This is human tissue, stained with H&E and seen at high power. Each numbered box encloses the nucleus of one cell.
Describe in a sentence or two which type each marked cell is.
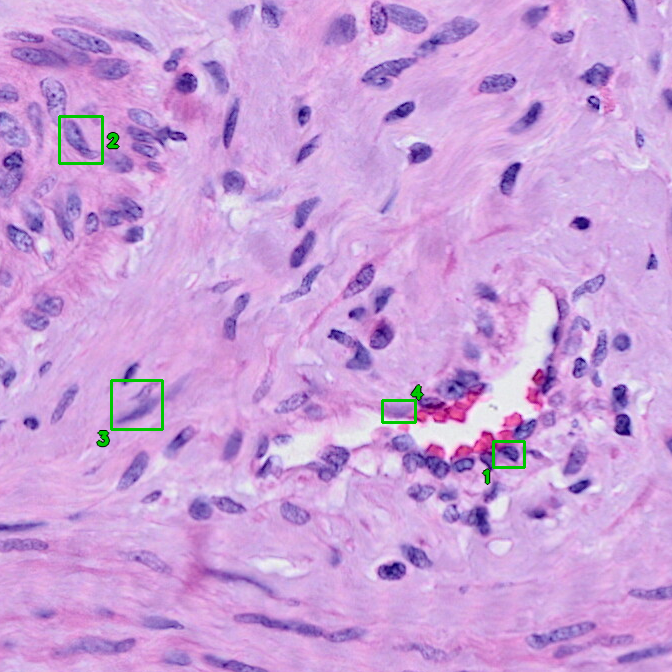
Cells 1 and 4 are endothelial cells. Cell 2 is a smooth muscle cell. Cell 3 is a fibroblast.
